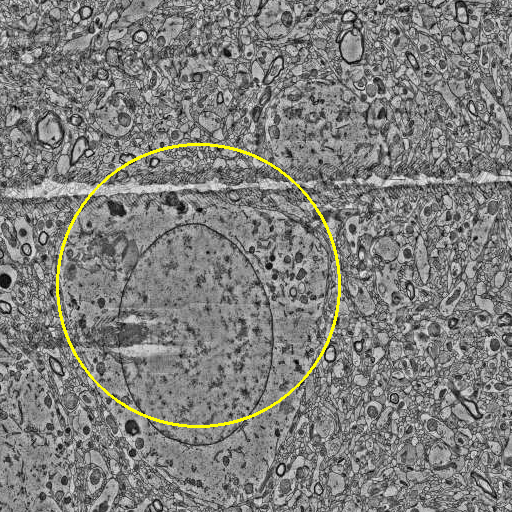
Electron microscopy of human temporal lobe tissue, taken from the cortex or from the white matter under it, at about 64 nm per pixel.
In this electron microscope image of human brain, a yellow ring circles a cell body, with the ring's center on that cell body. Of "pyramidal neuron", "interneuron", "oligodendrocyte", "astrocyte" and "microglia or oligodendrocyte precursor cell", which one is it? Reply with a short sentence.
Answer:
It is a pyramidal neuron at the center of the ring.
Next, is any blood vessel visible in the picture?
No.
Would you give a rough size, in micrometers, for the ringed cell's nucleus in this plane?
The ringed cell's nucleus is about 14 micrometres long and 10 micrometres wide in this plane.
